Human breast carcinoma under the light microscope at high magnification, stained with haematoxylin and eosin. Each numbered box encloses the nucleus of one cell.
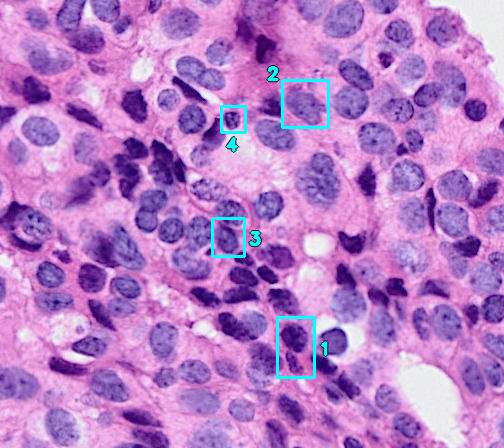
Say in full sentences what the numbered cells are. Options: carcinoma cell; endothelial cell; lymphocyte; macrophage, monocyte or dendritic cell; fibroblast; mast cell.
Cells 1, 2 and 3 are carcinoma cells. Cell 4 is a lymphocyte.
